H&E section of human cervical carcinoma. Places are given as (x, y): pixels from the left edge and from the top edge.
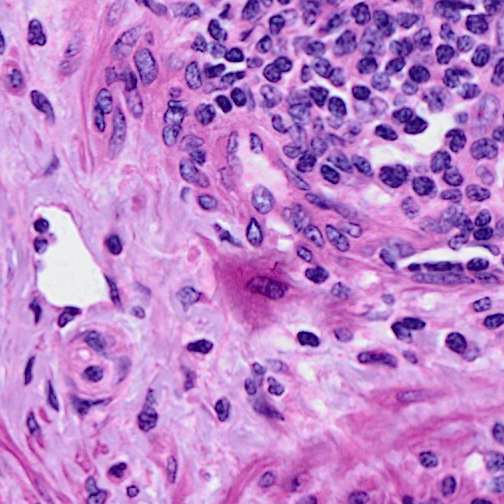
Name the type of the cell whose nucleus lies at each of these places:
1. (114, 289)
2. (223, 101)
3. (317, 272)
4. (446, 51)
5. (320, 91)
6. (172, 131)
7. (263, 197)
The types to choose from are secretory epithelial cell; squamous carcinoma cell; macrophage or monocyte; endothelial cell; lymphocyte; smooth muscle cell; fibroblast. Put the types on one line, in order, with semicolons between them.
endothelial cell; lymphocyte; lymphocyte; lymphocyte; lymphocyte; endothelial cell; endothelial cell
